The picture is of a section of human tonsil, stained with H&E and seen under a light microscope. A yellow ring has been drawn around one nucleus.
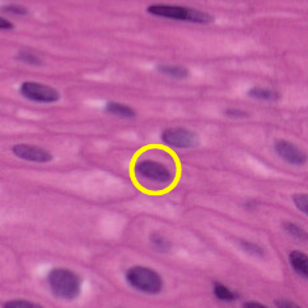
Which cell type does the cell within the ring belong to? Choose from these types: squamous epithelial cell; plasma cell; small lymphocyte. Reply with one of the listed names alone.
squamous epithelial cell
